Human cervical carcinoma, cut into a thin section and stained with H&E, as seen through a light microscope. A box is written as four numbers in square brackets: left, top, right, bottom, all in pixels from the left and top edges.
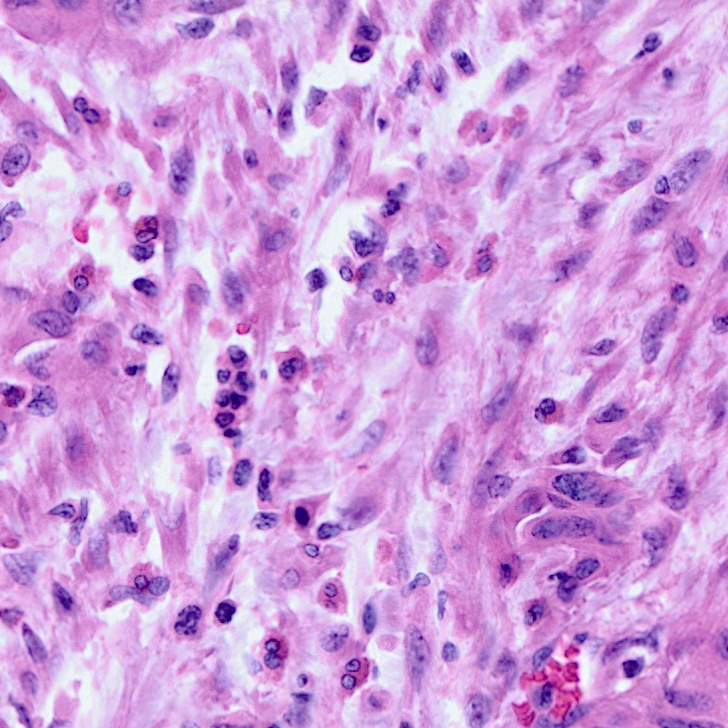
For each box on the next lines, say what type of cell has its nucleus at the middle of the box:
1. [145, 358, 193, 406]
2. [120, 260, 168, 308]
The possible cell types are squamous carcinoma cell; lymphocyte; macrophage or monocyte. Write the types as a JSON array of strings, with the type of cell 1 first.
["macrophage or monocyte", "lymphocyte"]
